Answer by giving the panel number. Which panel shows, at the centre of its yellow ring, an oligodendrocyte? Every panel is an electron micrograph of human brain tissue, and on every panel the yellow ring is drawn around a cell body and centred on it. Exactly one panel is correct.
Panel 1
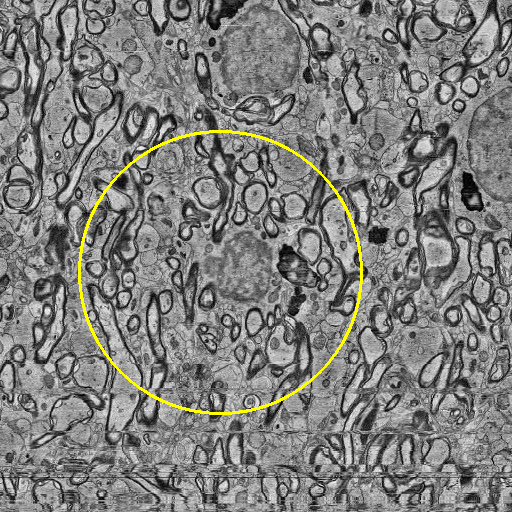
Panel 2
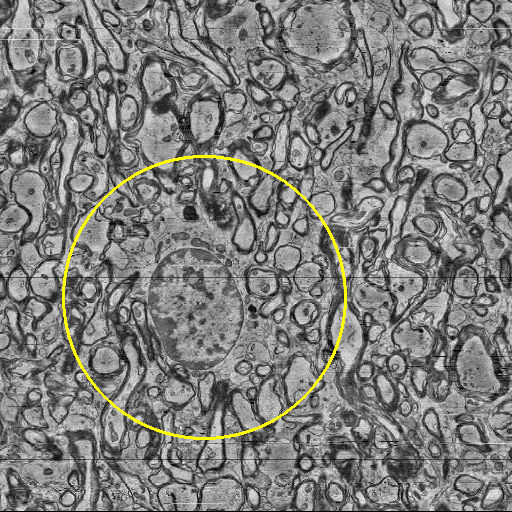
1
